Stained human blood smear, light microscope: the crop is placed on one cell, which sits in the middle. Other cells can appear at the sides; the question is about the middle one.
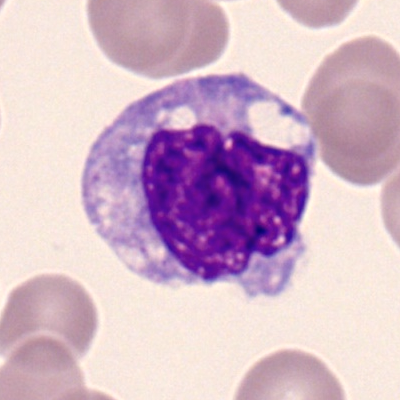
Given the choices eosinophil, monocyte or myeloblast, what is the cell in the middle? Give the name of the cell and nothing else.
monocyte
